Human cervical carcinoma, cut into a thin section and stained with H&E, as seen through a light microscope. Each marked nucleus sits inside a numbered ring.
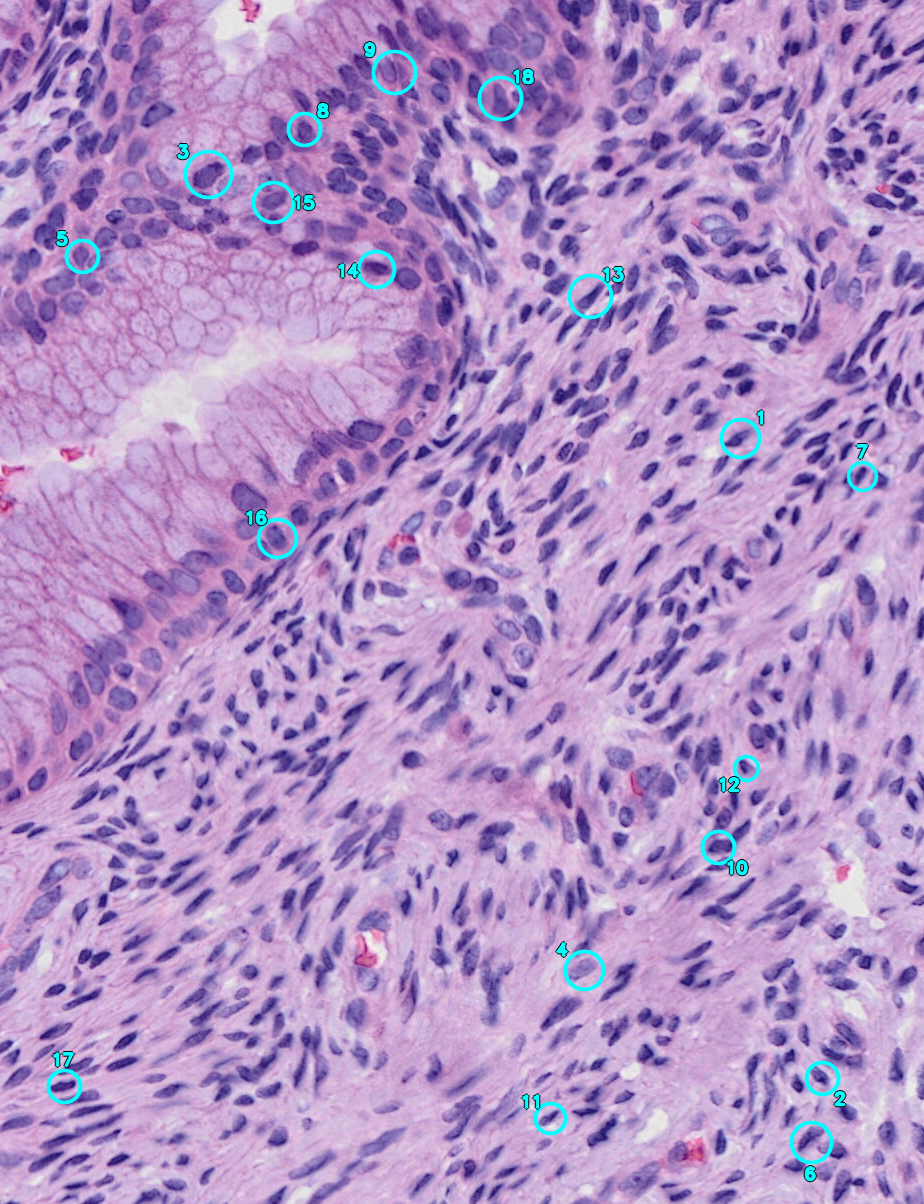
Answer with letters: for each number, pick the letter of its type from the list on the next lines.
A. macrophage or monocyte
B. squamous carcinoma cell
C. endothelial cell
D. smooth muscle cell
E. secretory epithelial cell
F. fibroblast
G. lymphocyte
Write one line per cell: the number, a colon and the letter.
1: F
2: F
3: E
4: F
5: E
6: F
7: F
8: E
9: E
10: F
11: F
12: F
13: F
14: E
15: E
16: E
17: F
18: E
